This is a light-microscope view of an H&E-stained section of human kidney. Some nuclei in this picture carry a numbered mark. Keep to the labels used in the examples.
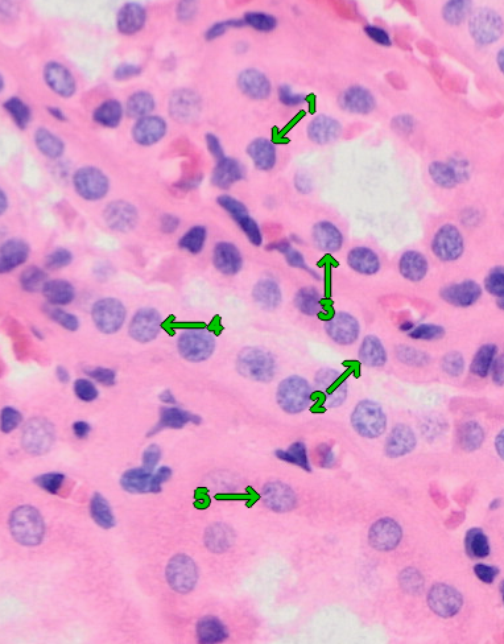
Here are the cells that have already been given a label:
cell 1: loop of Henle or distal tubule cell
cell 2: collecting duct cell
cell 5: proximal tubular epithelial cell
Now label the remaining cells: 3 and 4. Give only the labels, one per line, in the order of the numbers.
loop of Henle or distal tubule cell
collecting duct cell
